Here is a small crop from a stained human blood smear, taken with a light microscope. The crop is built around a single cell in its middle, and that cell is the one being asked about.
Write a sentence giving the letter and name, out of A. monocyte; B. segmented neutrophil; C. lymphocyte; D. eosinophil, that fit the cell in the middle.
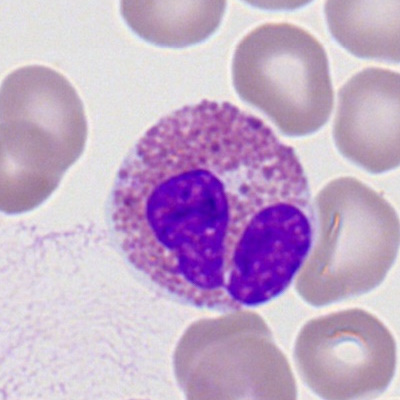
Option D, which names the central cell as an eosinophil, is correct.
